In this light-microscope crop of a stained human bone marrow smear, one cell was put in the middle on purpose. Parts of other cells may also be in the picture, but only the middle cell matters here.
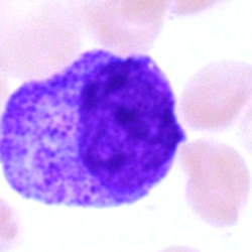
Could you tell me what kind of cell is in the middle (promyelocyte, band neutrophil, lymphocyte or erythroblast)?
promyelocyte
